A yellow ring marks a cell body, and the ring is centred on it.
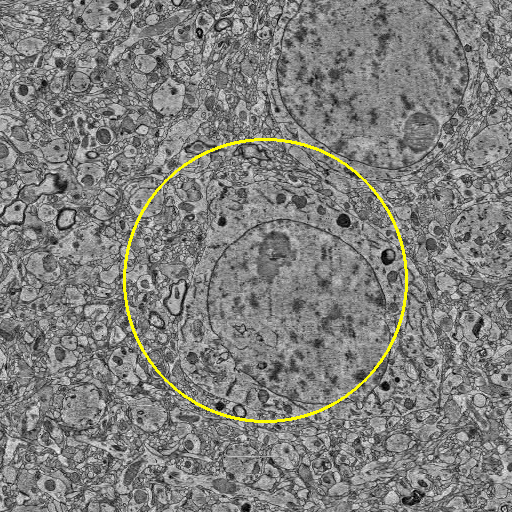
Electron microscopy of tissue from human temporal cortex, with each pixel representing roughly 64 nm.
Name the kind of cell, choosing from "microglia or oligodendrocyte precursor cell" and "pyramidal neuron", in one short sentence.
The marked cell body belongs to a pyramidal neuron.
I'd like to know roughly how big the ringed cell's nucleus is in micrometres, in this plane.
The nucleus measures about 13 by 11 micrometres in this plane.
